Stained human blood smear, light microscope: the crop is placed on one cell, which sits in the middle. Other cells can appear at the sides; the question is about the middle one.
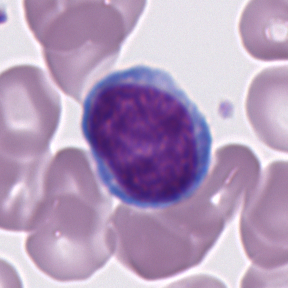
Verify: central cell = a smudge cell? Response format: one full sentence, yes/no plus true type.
No, the cell in the centre is to be called a typical lymphocyte instead of a smudge cell.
